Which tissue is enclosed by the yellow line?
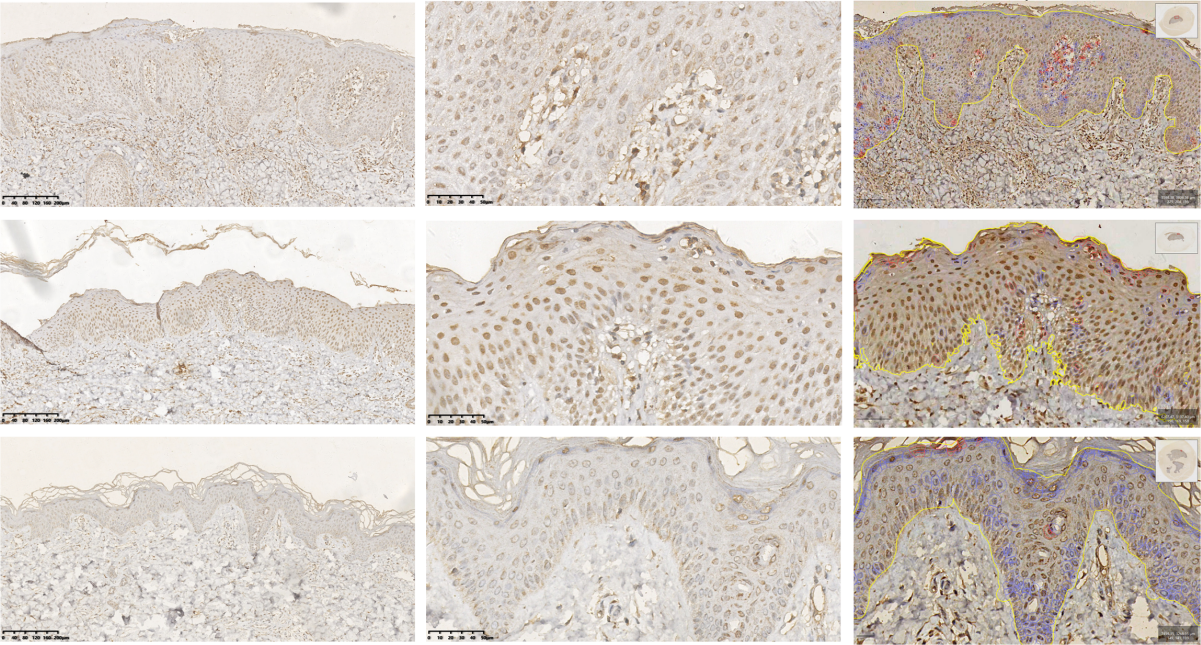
Epidermis.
